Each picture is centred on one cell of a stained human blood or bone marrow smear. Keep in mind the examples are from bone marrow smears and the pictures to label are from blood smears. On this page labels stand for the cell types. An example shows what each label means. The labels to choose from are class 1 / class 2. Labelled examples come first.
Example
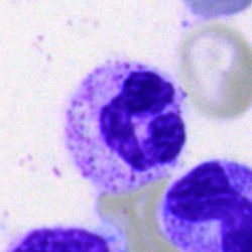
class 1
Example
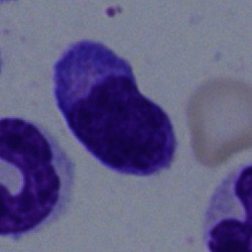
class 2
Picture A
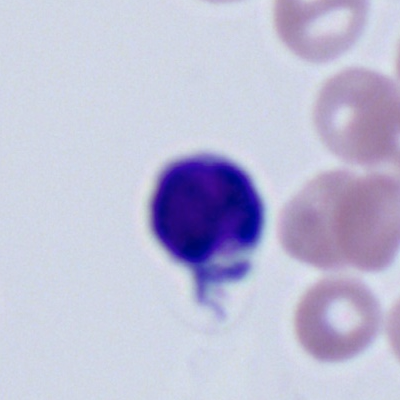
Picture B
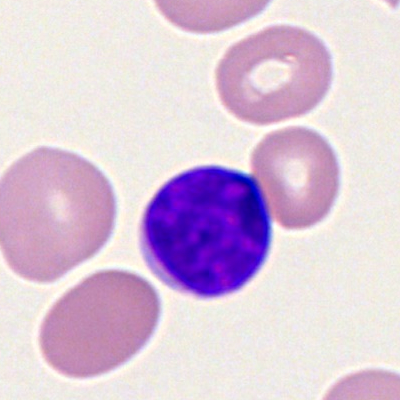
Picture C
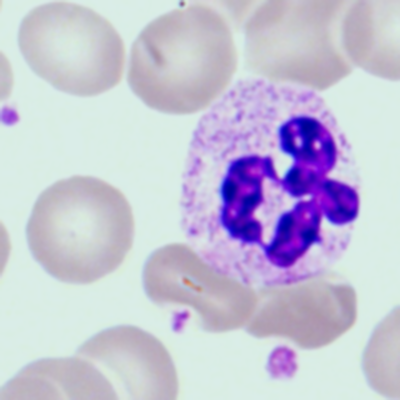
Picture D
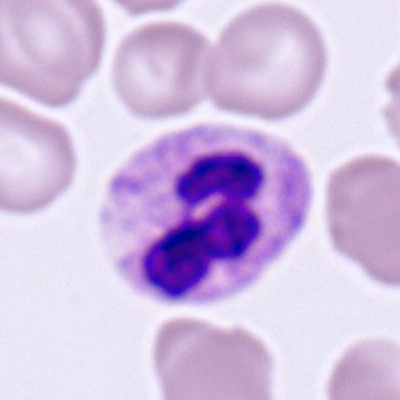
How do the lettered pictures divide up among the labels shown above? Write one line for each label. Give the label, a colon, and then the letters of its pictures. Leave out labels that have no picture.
class 1: C, D
class 2: A, B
